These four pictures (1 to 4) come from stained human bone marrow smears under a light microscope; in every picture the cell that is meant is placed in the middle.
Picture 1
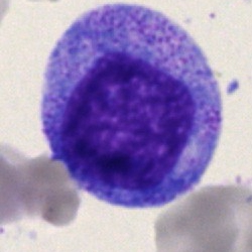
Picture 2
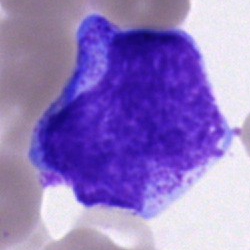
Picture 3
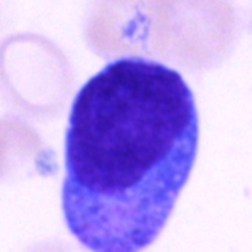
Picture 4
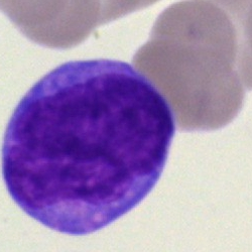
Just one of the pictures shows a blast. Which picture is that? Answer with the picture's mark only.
4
